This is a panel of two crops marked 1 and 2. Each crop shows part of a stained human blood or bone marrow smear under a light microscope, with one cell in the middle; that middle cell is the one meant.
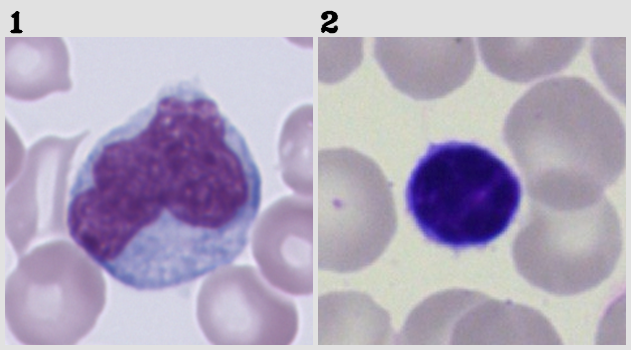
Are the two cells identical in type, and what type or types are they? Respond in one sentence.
No, the cell centred in crop 2 is a lymphocyte; crop 1 centres on a monocyte.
